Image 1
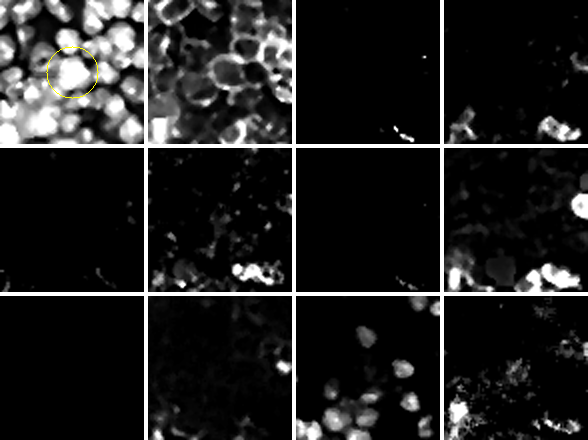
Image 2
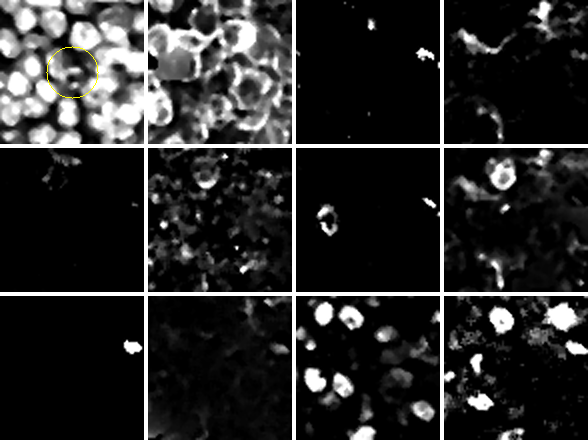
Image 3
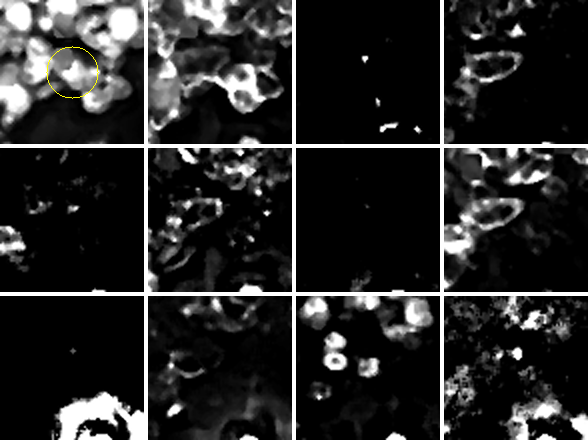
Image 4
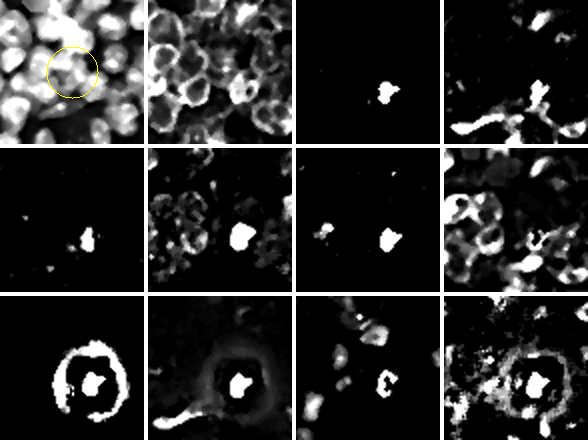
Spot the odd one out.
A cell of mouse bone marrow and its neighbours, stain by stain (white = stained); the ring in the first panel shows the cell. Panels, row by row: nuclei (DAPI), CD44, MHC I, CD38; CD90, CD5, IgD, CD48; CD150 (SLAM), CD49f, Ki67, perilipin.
Picture 4 (a monocyte among erythroblasts).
